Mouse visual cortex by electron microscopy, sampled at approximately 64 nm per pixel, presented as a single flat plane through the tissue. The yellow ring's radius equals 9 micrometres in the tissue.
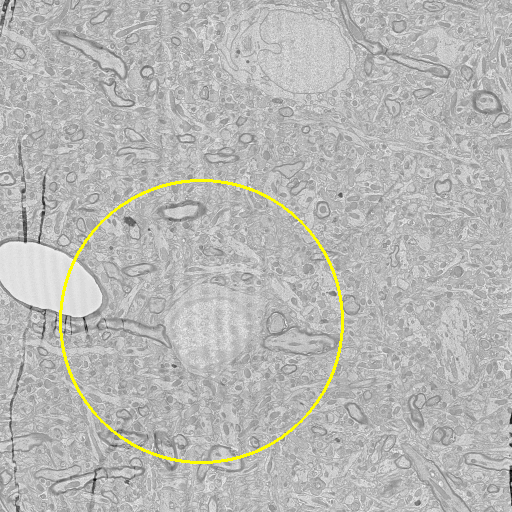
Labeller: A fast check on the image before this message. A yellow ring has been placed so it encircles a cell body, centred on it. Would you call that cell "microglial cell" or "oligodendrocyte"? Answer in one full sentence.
In this image, an oligodendrocyte is the cell on which the yellow ring is centred.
